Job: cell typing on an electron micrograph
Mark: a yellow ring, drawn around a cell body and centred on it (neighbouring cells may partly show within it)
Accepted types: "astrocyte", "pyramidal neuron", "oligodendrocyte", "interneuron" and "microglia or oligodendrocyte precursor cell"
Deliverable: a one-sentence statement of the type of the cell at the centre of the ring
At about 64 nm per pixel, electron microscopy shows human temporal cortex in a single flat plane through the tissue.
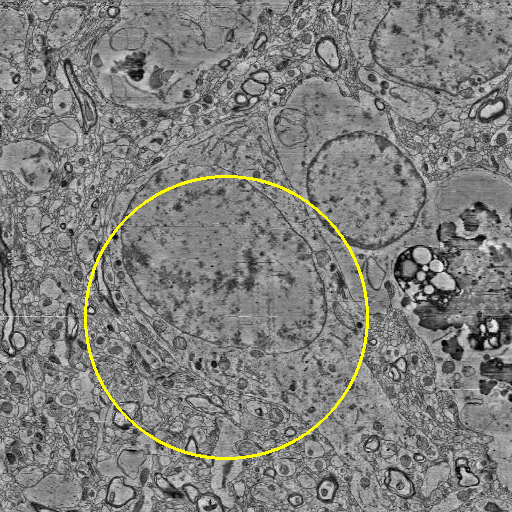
The centred cell body is that of a pyramidal neuron.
